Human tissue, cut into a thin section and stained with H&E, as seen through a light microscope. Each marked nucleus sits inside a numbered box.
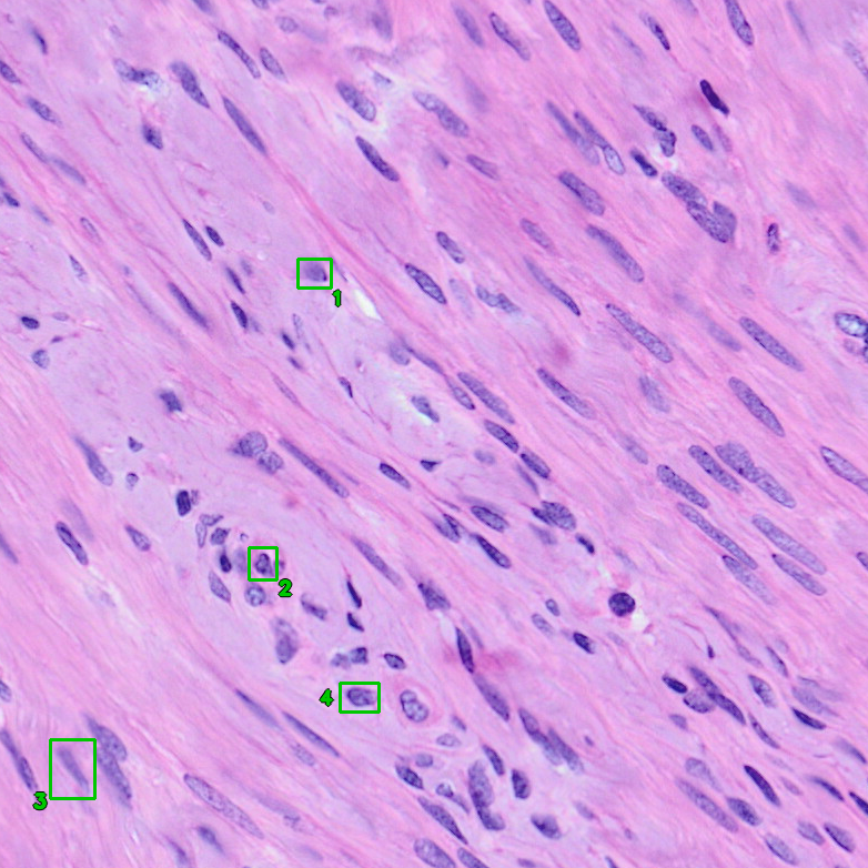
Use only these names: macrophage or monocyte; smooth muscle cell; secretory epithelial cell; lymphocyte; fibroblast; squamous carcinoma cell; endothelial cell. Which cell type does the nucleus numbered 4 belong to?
fibroblast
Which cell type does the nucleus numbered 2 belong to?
endothelial cell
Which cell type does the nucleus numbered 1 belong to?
fibroblast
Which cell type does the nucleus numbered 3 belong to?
fibroblast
